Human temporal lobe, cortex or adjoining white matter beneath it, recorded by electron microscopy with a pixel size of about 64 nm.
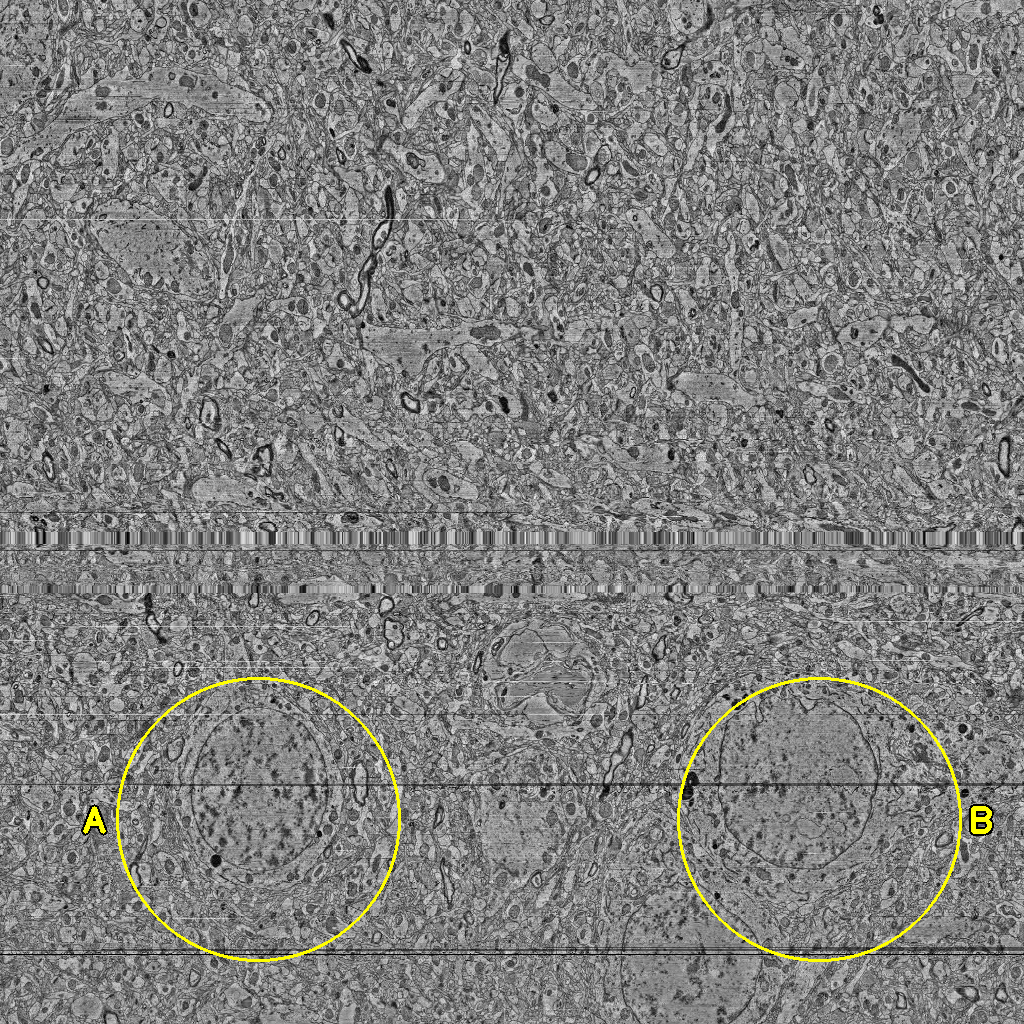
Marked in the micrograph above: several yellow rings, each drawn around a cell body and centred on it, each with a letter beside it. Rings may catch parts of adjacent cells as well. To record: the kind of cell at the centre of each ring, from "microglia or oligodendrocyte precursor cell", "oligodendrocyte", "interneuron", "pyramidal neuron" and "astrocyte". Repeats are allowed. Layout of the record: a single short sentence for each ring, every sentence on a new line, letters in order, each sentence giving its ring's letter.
At the centre of ring A lies a pyramidal neuron.
At the centre of ring B lies a pyramidal neuron.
